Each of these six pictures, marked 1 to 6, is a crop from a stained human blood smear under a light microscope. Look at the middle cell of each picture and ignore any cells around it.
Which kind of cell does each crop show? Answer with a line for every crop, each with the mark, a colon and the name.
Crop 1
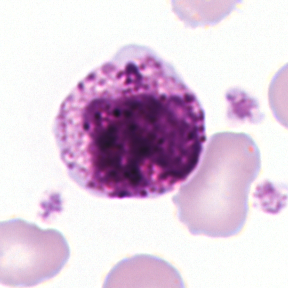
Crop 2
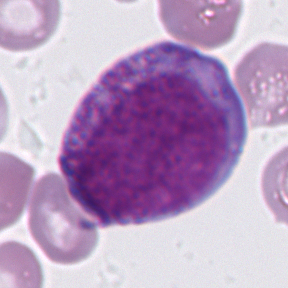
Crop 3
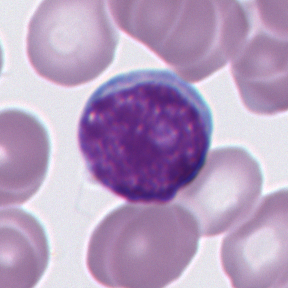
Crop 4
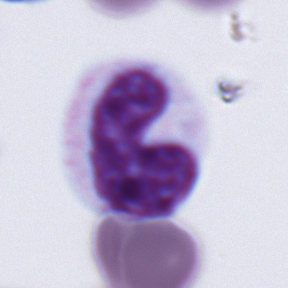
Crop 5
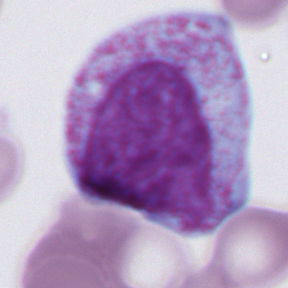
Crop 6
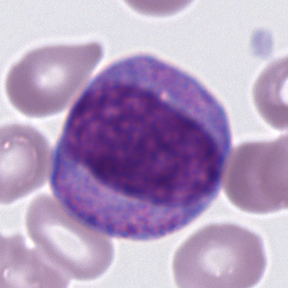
1: basophil
2: promyelocyte
3: typical lymphocyte
4: band neutrophil
5: myelocyte
6: atypical promyelocyte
